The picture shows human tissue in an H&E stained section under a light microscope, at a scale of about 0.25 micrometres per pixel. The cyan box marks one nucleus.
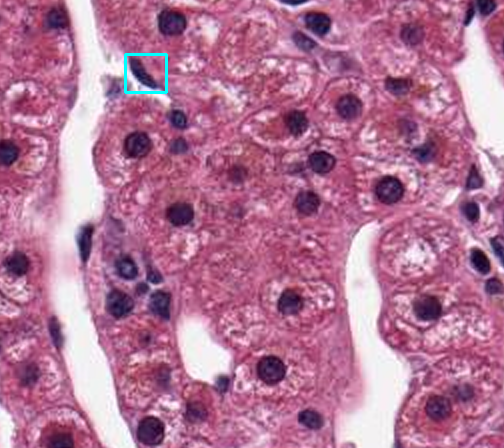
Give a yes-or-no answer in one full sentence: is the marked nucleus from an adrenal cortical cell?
No, not to an adrenal cortical cell does the marked nucleus belong, but to a supporting cell.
